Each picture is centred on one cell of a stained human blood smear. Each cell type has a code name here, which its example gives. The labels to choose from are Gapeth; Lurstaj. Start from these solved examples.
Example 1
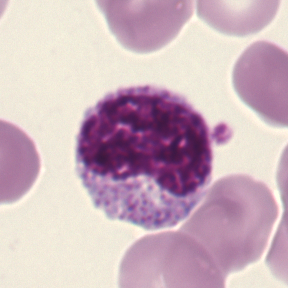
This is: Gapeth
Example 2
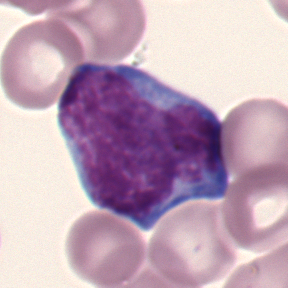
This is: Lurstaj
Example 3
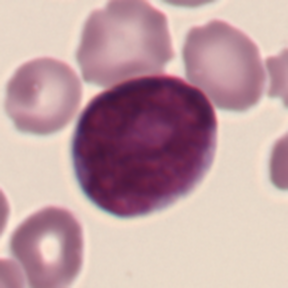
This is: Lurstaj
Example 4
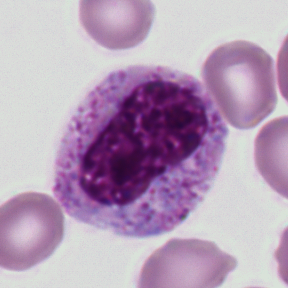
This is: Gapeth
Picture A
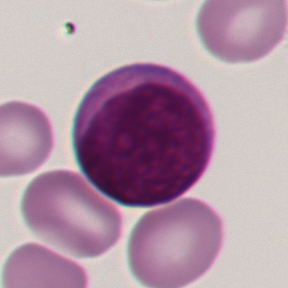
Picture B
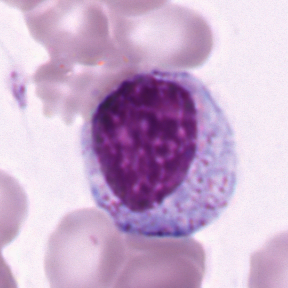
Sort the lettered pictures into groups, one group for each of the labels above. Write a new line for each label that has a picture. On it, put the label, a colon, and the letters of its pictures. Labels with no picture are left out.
Gapeth: B
Lurstaj: A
